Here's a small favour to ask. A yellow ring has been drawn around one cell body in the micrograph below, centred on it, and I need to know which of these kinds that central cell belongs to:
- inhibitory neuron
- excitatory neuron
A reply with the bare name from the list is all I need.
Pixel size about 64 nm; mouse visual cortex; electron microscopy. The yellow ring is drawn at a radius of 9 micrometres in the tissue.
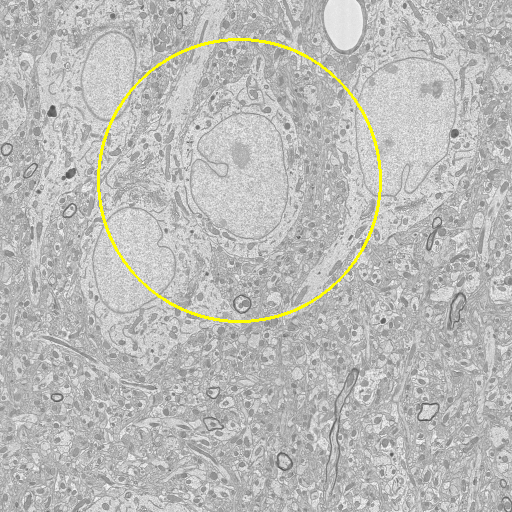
inhibitory neuron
